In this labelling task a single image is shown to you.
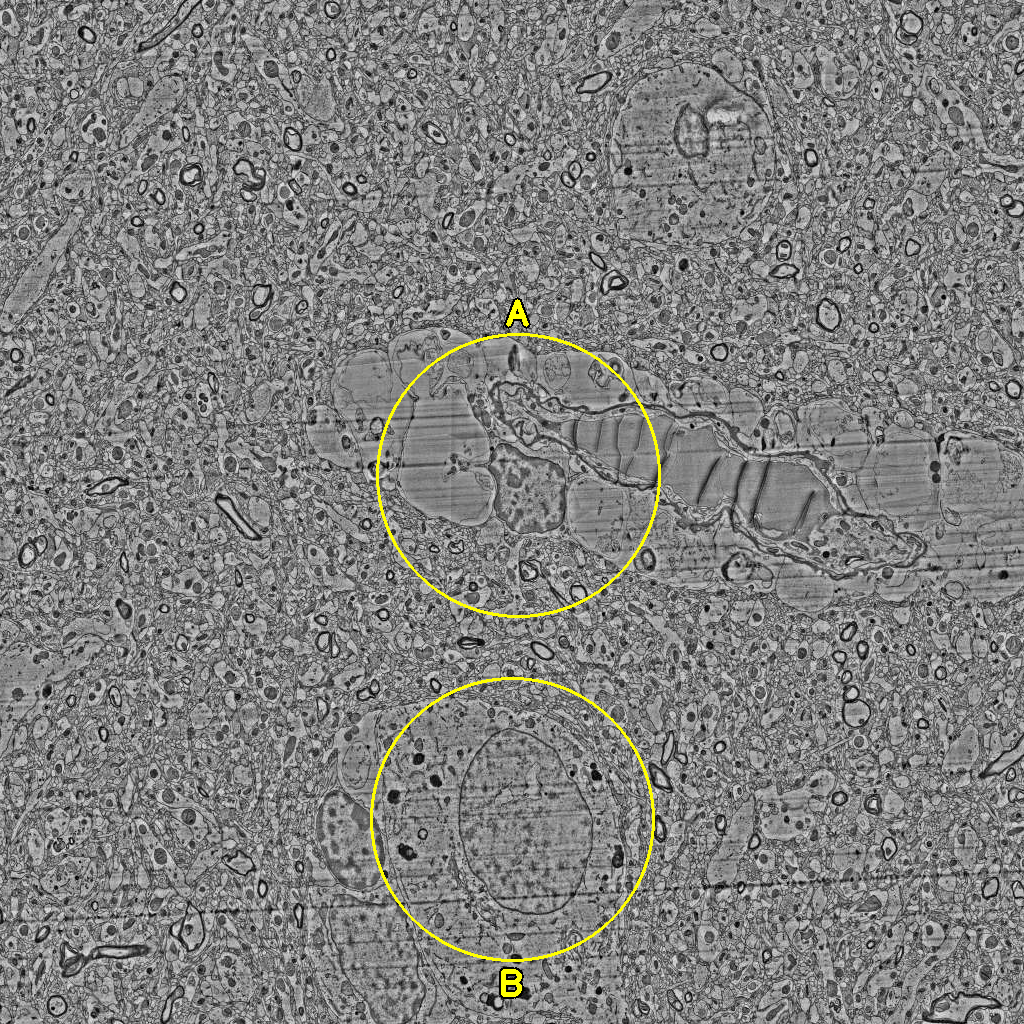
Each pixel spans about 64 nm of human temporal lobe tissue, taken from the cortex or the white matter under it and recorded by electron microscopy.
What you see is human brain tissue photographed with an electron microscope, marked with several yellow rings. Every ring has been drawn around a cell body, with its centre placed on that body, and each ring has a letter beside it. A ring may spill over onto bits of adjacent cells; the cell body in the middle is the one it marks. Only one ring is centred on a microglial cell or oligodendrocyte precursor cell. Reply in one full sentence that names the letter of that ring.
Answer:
The ring centred on the cell asked for is the one marked A.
